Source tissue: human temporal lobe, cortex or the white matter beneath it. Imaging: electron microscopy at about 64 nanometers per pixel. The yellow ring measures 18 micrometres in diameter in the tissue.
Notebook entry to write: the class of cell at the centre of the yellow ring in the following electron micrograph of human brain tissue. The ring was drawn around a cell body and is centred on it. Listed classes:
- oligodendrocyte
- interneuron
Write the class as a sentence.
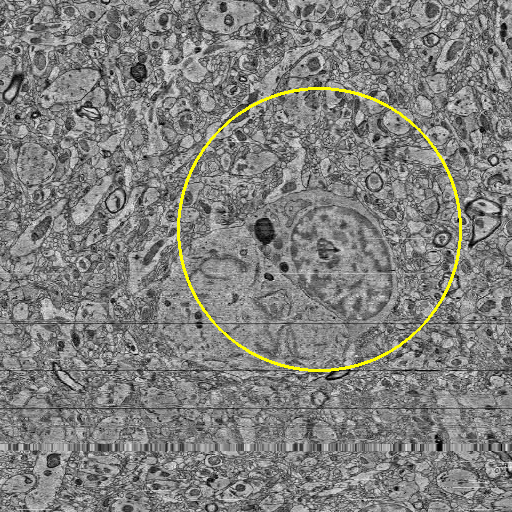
The yellow ring sits on an oligodendrocyte.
